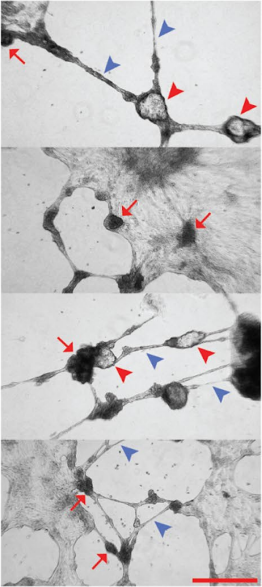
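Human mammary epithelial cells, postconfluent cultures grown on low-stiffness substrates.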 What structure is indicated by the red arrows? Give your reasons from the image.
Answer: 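Dark spheroids. Dense, dark cell clusters without a light centre.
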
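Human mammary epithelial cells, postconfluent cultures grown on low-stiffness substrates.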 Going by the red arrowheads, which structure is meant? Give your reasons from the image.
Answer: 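Rounded cell clusters with a lighter, translucent interior. They sit where thin strands meet. So: lucent spheroids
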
